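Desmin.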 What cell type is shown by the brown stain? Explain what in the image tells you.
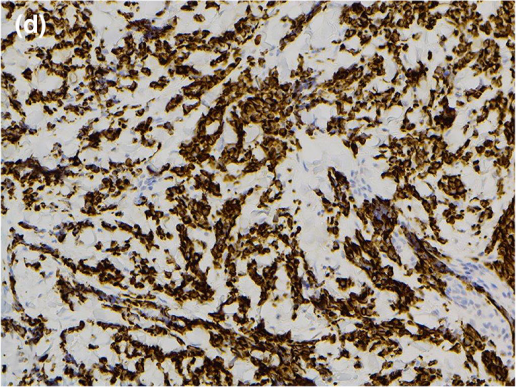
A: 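Brown stain fills densely packed small cells in cords and clusters. Spindle cells and stroma between them remain pale blue.
Tumour cells.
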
